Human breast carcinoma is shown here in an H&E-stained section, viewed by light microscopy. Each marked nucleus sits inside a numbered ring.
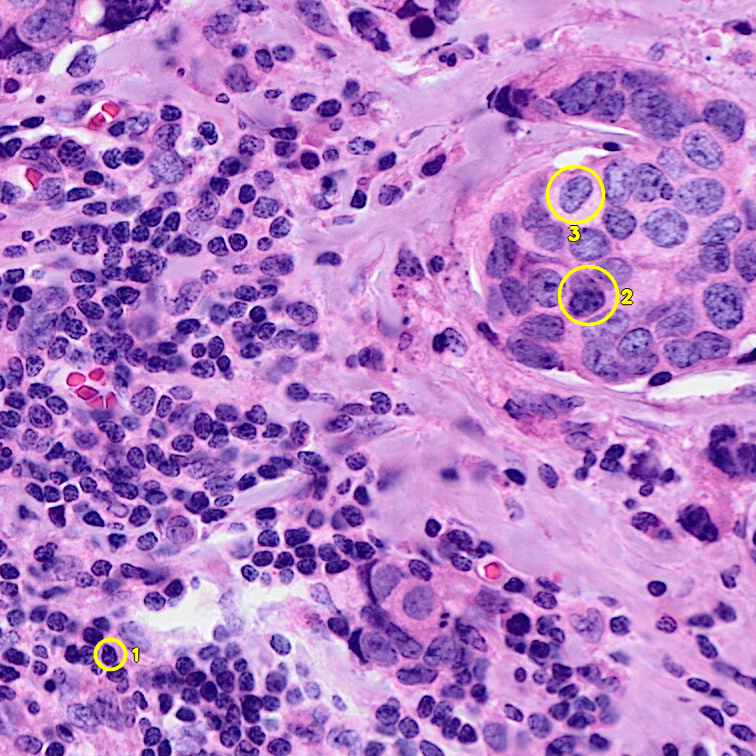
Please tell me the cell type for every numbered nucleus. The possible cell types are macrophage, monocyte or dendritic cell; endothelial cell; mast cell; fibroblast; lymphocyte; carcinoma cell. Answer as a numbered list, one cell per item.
1. lymphocyte
2. carcinoma cell
3. carcinoma cell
